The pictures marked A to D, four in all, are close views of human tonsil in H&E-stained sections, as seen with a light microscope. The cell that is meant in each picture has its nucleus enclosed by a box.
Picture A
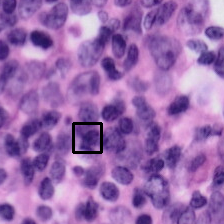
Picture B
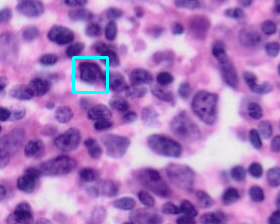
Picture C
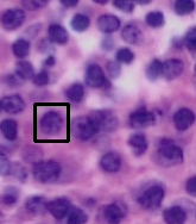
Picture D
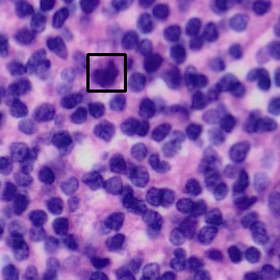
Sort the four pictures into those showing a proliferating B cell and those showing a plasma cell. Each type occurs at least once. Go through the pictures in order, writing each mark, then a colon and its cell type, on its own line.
A: proliferating B cell
B: proliferating B cell
C: plasma cell
D: proliferating B cell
